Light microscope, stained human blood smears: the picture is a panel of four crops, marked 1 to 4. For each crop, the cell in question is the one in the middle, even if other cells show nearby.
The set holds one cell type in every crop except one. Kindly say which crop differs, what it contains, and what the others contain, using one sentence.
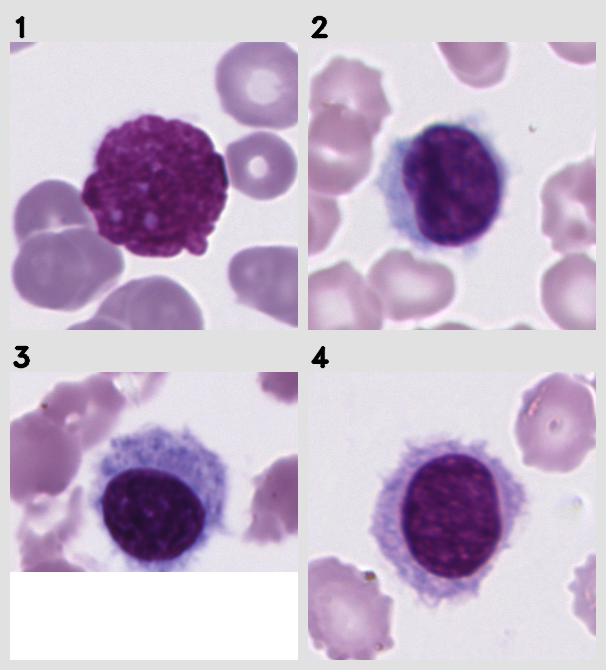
In crop 1 the central cell is a smudge cell, whereas the other crops all contain hairy cells.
